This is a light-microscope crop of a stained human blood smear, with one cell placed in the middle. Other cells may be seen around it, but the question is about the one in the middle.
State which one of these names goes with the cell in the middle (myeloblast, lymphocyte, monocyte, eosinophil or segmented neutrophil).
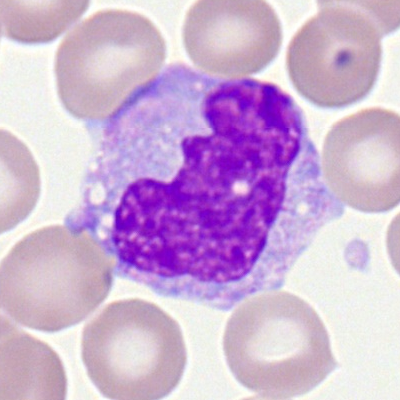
monocyte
